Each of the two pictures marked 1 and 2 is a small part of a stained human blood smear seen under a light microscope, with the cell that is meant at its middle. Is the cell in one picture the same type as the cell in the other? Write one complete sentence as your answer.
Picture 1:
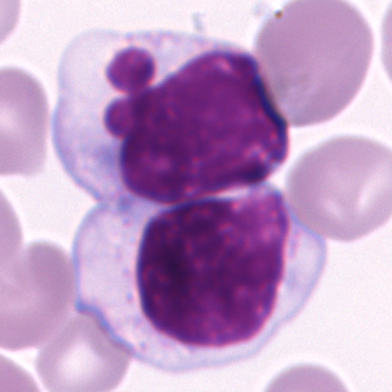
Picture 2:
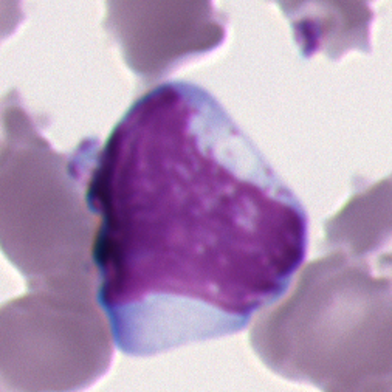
Yes; the cells in both pictures are large granular lymphocytes.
